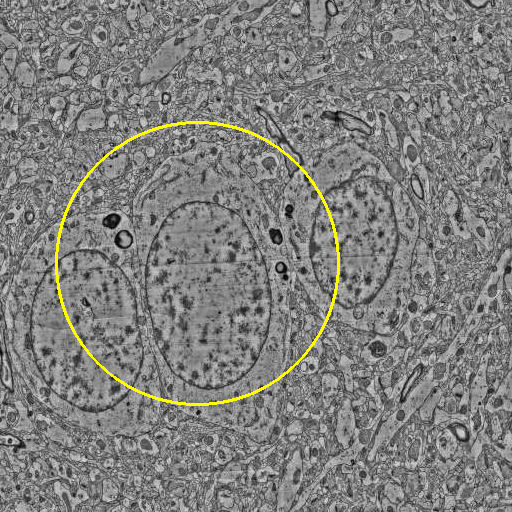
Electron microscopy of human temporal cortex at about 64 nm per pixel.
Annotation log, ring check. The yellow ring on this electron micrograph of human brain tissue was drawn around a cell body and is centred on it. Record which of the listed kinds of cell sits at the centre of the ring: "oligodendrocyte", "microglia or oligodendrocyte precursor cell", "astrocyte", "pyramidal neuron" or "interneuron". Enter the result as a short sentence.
The cell at the centre of the ring is a pyramidal neuron.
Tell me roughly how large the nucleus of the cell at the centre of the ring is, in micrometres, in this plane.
The nucleus appears roughly 12 by 8 micrometres in this plane.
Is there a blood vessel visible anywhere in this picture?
No, none is visible.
